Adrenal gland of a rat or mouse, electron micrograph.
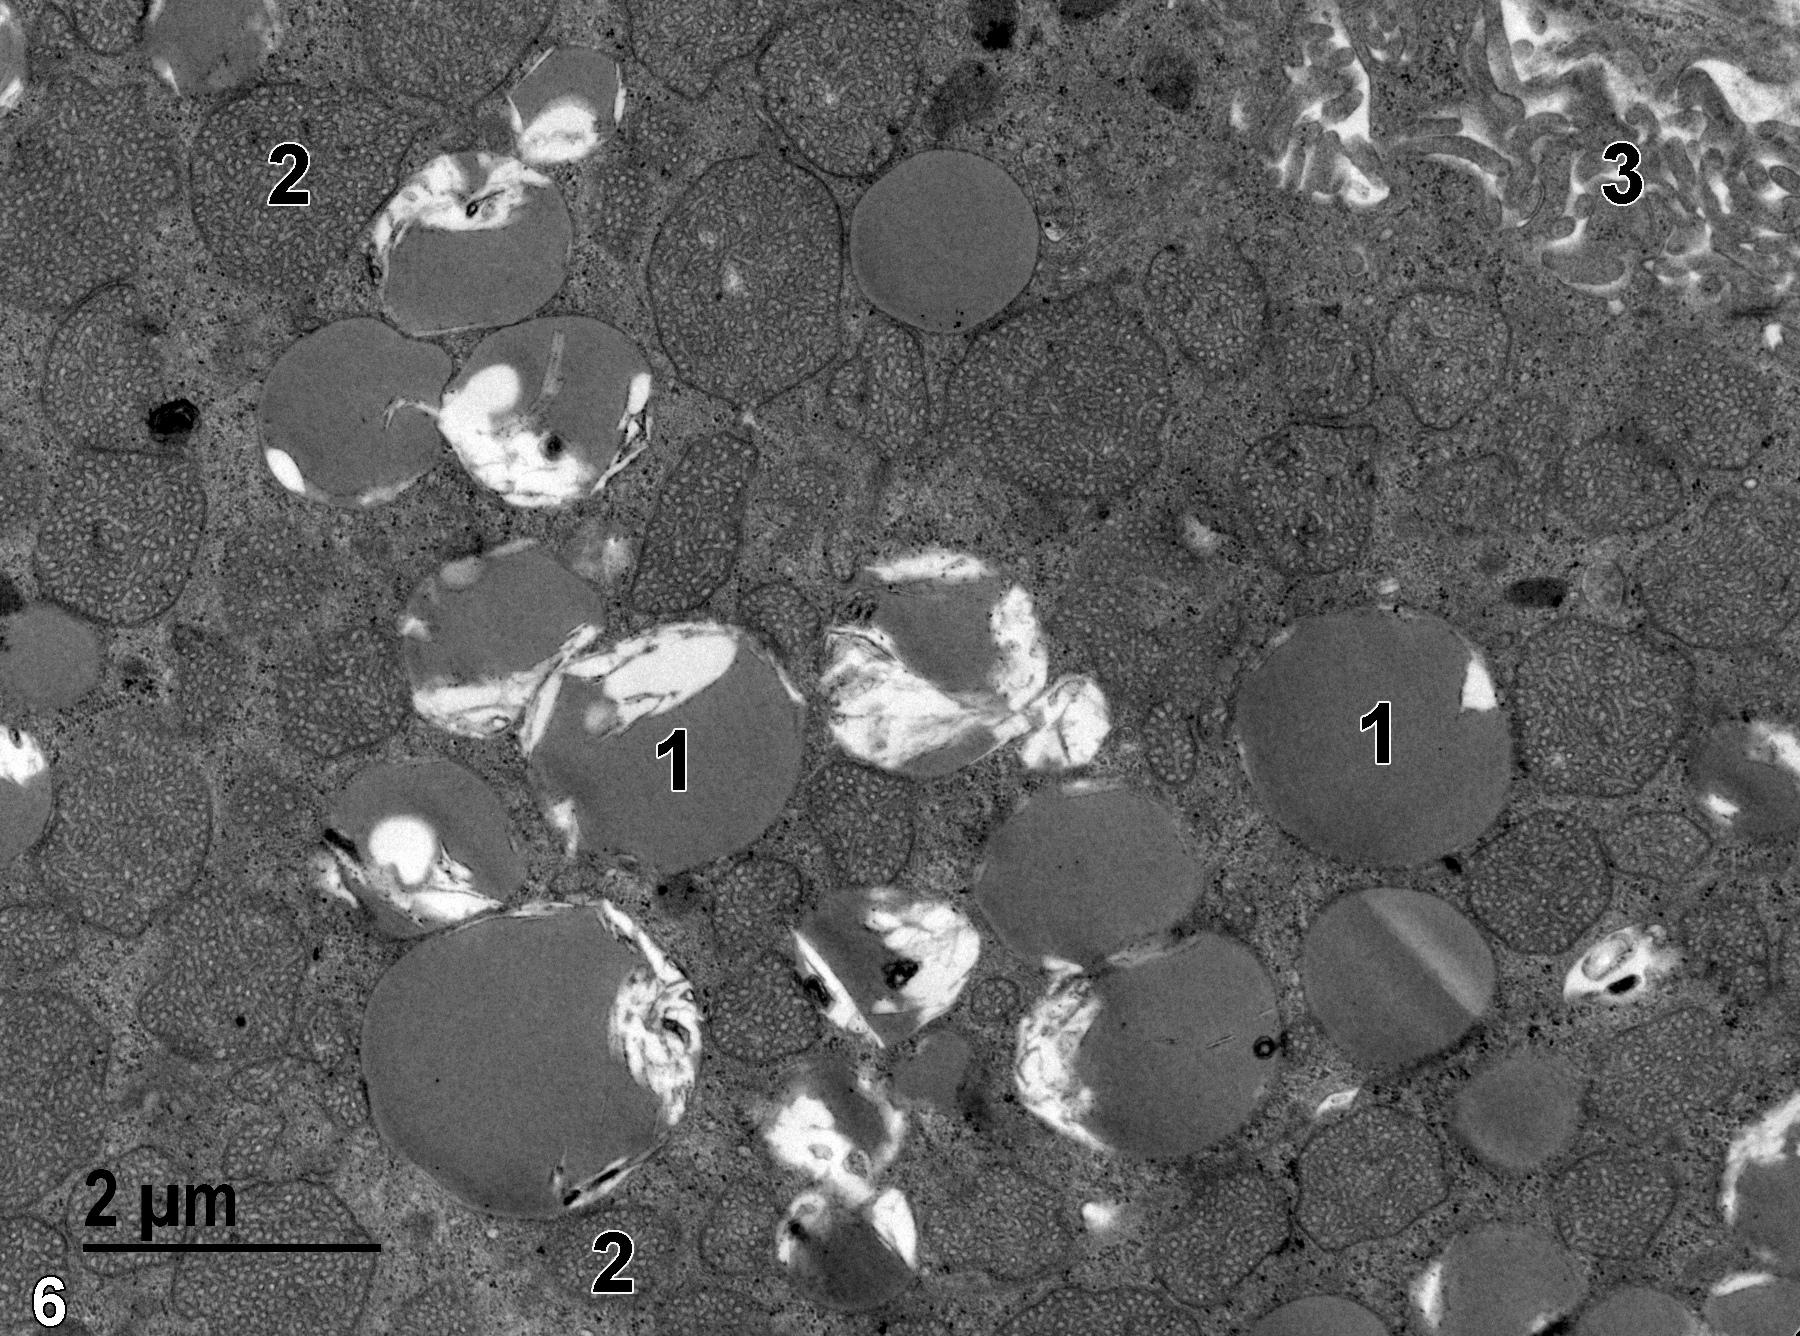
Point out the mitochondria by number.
The mitochondria: 2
